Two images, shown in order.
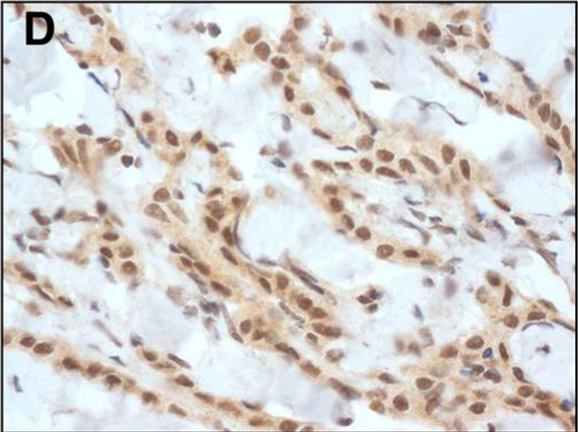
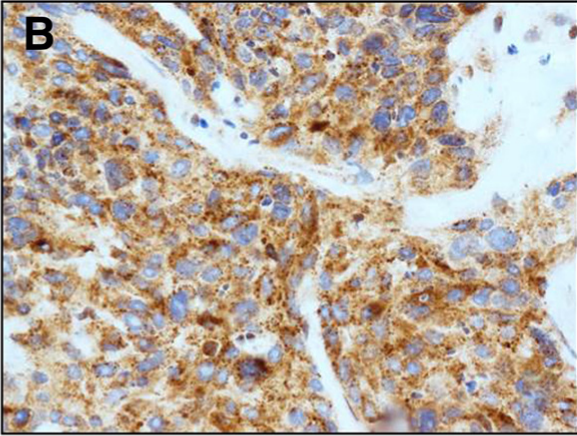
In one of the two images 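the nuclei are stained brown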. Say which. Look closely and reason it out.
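First image: most nuclei are brown. Second image: nuclei are blue while brown lies in the cytoplasm. On this evidence: the first image.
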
